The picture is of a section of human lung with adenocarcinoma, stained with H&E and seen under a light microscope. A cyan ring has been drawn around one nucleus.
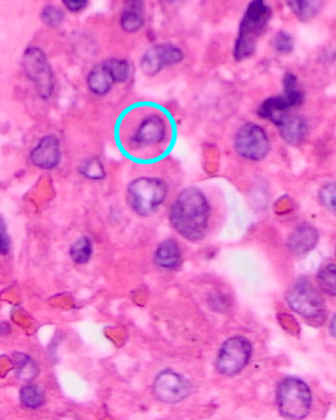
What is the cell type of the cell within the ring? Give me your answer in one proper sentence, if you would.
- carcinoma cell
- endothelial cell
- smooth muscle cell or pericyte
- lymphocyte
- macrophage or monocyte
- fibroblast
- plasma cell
For cell typing purposes, the cell within the ring is a macrophage or monocyte.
